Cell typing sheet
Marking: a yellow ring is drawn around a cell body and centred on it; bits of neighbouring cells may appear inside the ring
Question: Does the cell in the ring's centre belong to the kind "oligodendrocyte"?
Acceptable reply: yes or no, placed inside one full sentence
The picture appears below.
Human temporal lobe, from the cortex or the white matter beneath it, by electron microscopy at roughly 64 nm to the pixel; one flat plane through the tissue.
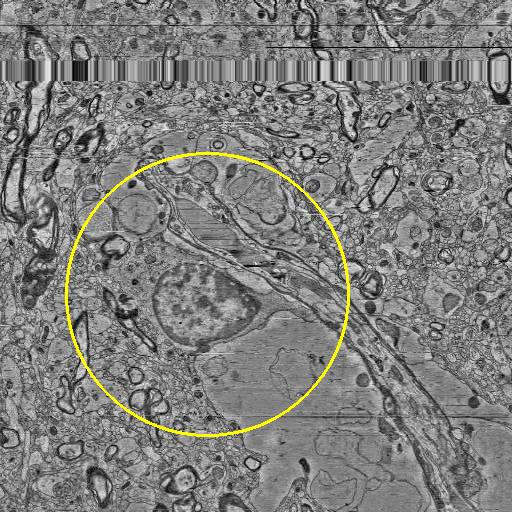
Yes, the cell in the centre of the ring is of the kind asked about.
